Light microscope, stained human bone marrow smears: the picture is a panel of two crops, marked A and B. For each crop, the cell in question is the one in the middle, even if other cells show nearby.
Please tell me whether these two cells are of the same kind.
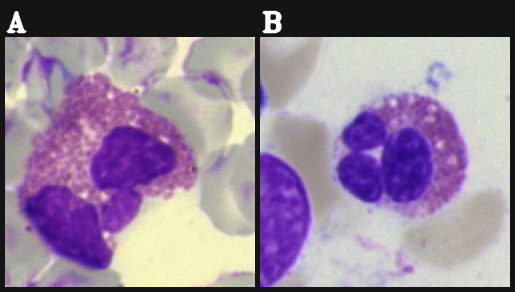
yes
